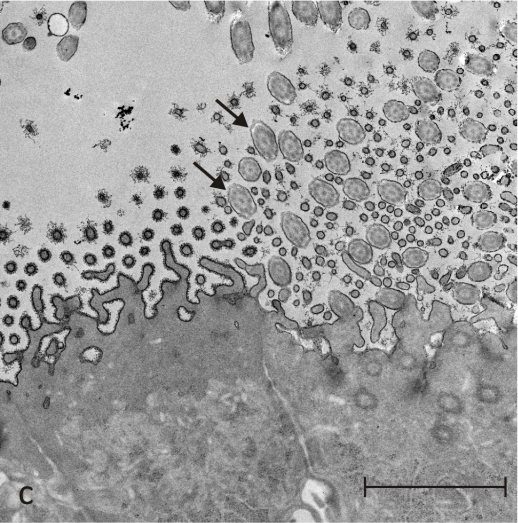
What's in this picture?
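This transmission electron micrograph shows the apical surface of an epithelial cell, cut so that many cilia and microvilli appear in cross section. Larger oval profiles, each with a ring of paired microtubules around a central pair, are the motile parts of cilia and cluster toward the upper right. Along the lower border the cell surface rises into irregular finger-like projections above the dense apical cytoplasm. The space above the cell is otherwise clear apart from a few scattered bits of debris.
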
